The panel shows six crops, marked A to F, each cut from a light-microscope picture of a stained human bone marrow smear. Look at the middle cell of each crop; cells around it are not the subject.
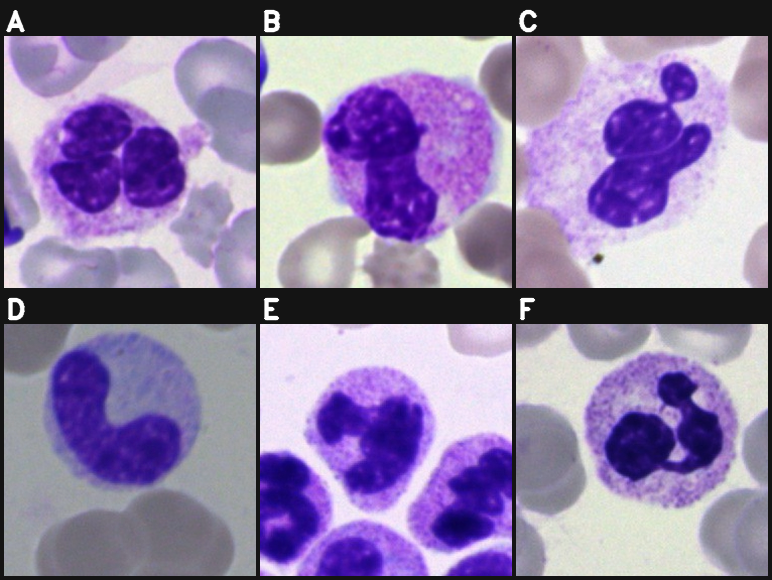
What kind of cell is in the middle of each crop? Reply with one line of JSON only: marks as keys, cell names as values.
{"A": "segmented neutrophil", "B": "band neutrophil", "C": "segmented neutrophil", "D": "band neutrophil", "E": "segmented neutrophil", "F": "segmented neutrophil"}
